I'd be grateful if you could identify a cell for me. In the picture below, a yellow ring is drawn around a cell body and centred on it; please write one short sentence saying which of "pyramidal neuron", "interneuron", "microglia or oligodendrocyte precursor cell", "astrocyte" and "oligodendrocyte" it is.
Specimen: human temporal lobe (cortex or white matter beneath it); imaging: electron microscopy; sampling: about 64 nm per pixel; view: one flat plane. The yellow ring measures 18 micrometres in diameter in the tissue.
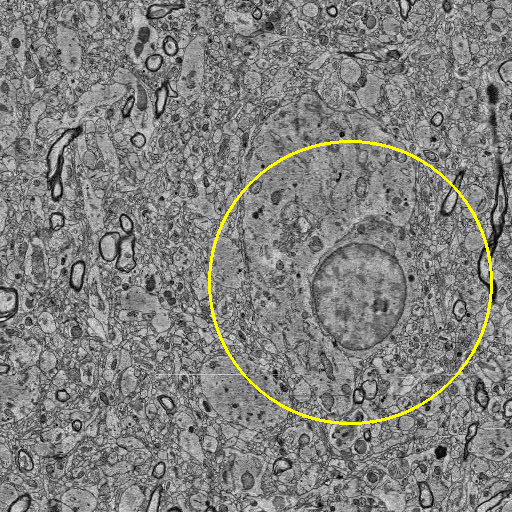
The cell under the ring's centre is an oligodendrocyte.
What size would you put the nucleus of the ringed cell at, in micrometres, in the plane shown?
The nucleus appears roughly 7 by 6 micrometres in this plane.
